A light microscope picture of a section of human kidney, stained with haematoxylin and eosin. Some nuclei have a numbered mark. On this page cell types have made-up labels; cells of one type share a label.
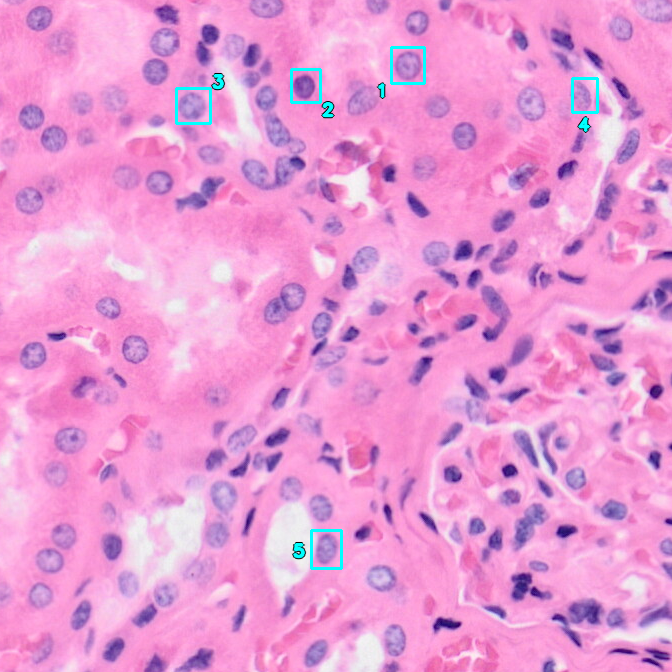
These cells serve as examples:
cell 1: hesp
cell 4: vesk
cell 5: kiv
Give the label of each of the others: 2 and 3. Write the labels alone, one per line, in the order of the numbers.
hesp
vesk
